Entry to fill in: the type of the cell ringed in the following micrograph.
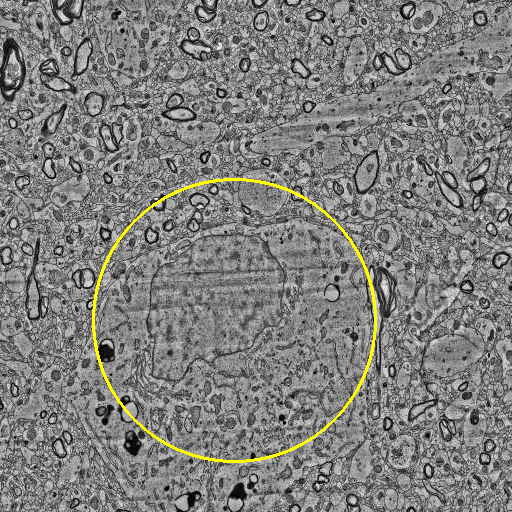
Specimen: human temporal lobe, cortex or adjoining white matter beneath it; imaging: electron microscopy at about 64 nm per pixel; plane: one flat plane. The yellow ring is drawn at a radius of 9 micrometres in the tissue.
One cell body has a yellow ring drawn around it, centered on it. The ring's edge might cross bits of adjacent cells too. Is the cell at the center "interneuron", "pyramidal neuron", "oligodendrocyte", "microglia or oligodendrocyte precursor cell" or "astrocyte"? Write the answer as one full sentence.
This entry names a pyramidal neuron as the cell whose body lies at the ring's center.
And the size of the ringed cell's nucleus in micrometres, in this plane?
The nucleus of the ringed cell is approximately 9 by 8 micrometres in this plane.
